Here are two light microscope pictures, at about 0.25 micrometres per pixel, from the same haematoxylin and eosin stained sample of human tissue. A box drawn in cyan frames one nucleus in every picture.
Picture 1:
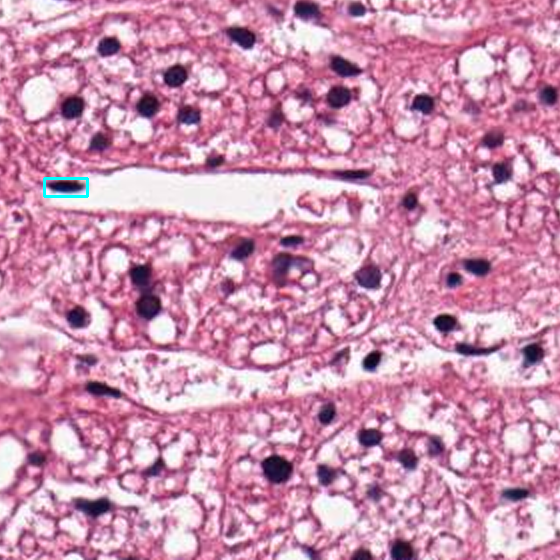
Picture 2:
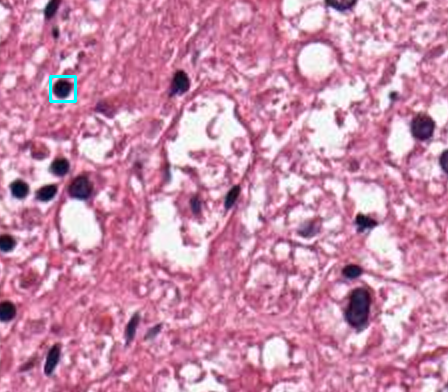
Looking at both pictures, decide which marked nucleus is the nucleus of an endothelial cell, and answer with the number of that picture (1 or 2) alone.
1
